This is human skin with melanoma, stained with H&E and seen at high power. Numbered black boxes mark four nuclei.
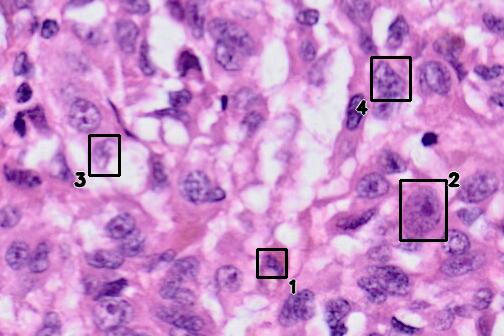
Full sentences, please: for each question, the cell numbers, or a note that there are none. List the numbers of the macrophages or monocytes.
Exactly one numbered cell is a macrophage or monocyte, and that cell is number 1.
